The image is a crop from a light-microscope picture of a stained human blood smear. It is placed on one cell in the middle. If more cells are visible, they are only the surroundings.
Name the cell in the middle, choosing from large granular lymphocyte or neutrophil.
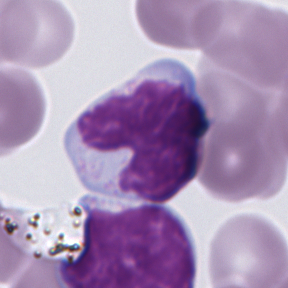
large granular lymphocyte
